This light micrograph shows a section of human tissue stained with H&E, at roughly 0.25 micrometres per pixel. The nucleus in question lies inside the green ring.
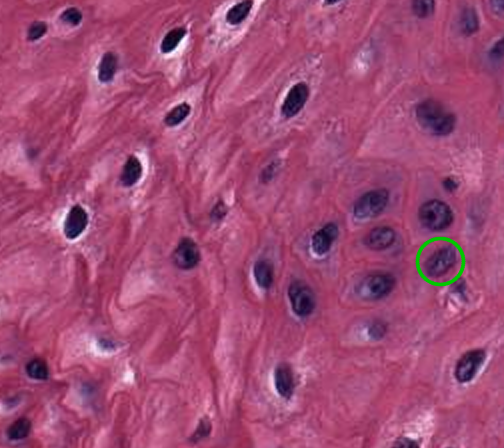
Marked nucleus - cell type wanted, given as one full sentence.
The marked nucleus belongs, in this picture, to a squamous epithelial cell.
